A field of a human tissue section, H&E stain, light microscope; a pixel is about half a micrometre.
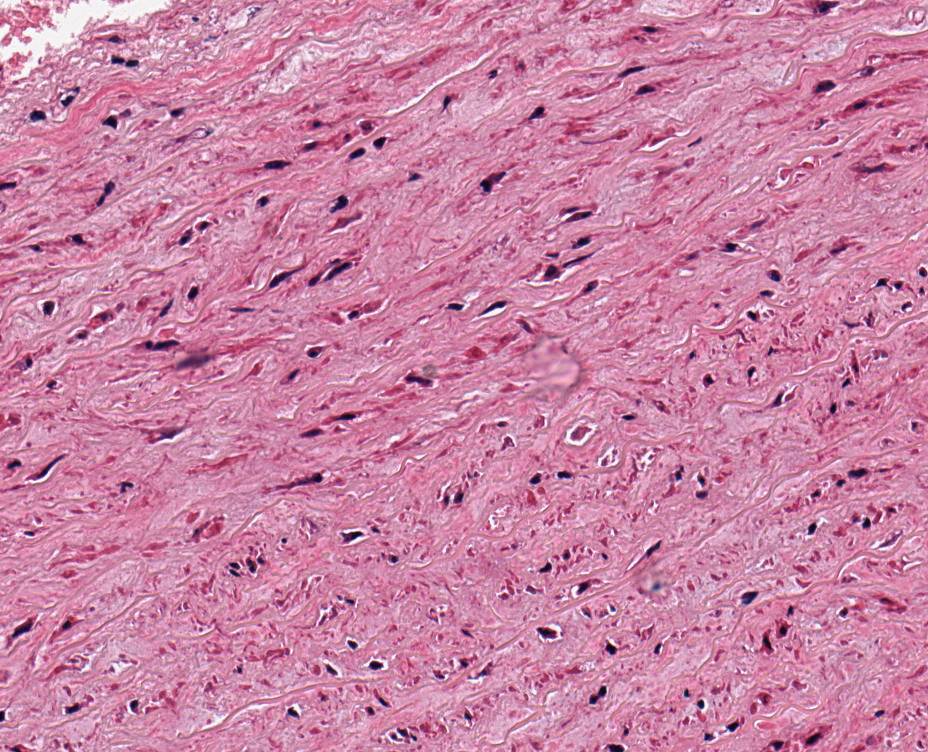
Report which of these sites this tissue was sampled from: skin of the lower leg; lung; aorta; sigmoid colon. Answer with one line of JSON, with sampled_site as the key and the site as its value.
{"sampled_site": "aorta"}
